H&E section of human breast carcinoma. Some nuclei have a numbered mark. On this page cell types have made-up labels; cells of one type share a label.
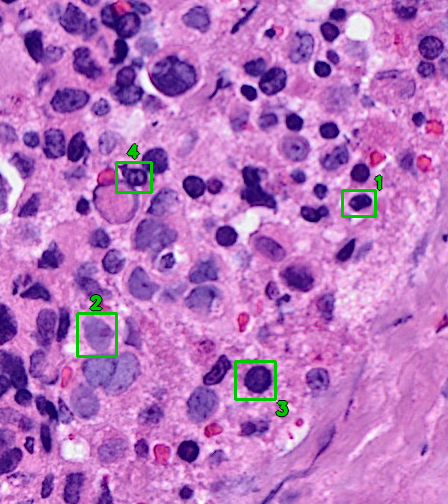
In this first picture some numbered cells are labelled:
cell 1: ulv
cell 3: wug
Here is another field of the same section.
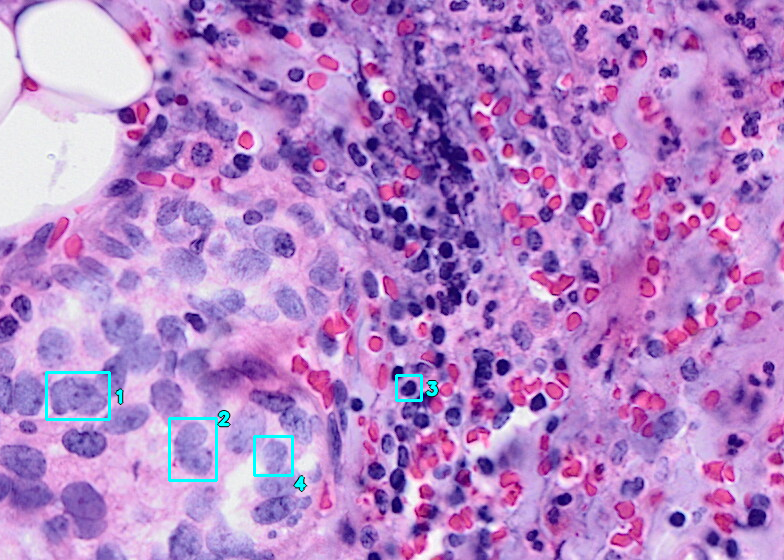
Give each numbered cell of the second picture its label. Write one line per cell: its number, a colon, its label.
1: wug
2: wug
3: ulv
4: wug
